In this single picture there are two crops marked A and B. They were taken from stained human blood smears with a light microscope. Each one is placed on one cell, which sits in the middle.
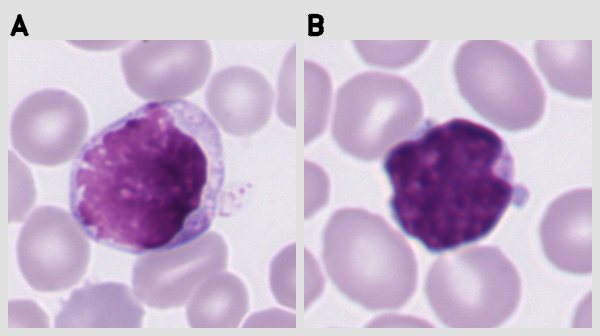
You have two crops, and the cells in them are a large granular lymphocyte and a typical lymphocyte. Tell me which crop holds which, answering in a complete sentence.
Crop A presents a large granular lymphocyte, and crop B presents a typical lymphocyte.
